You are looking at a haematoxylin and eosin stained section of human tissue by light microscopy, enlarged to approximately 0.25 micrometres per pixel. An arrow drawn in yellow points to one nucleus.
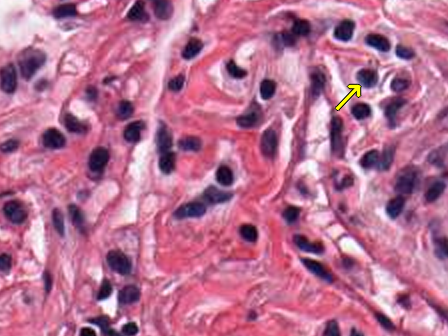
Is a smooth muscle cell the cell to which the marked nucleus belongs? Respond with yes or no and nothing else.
no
